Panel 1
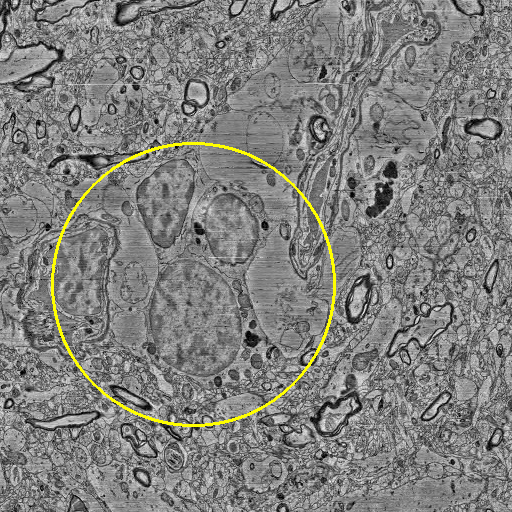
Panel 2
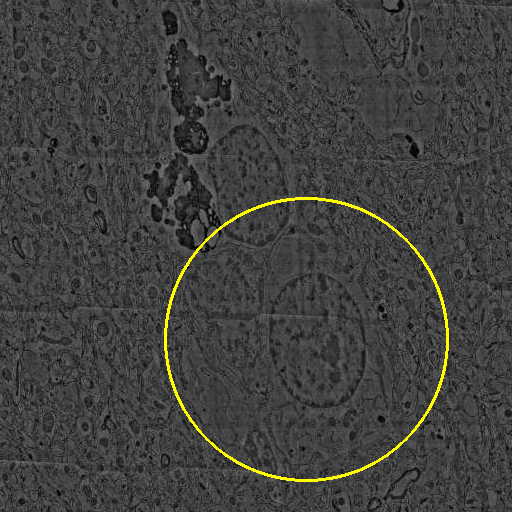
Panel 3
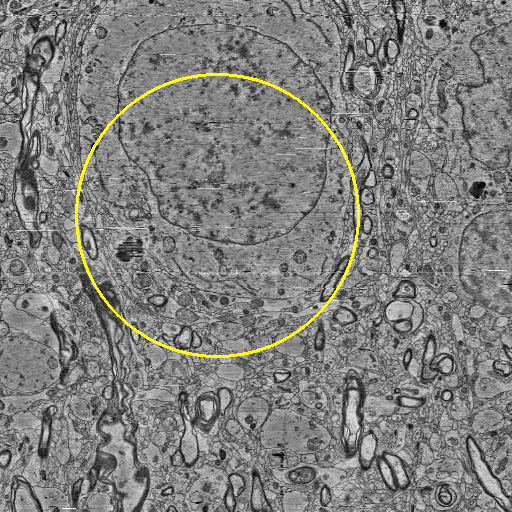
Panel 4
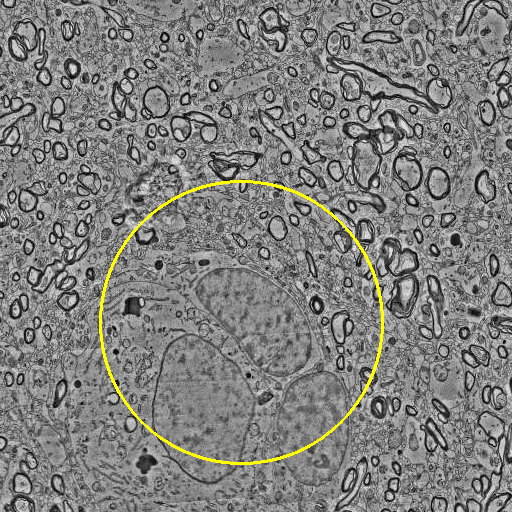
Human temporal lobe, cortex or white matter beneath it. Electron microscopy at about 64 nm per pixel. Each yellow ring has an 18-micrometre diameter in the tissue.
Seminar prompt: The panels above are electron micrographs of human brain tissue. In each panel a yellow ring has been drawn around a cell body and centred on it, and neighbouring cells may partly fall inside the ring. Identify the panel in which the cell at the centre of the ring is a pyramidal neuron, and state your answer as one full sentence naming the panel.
Panel 3 has it at the centre of its ring.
